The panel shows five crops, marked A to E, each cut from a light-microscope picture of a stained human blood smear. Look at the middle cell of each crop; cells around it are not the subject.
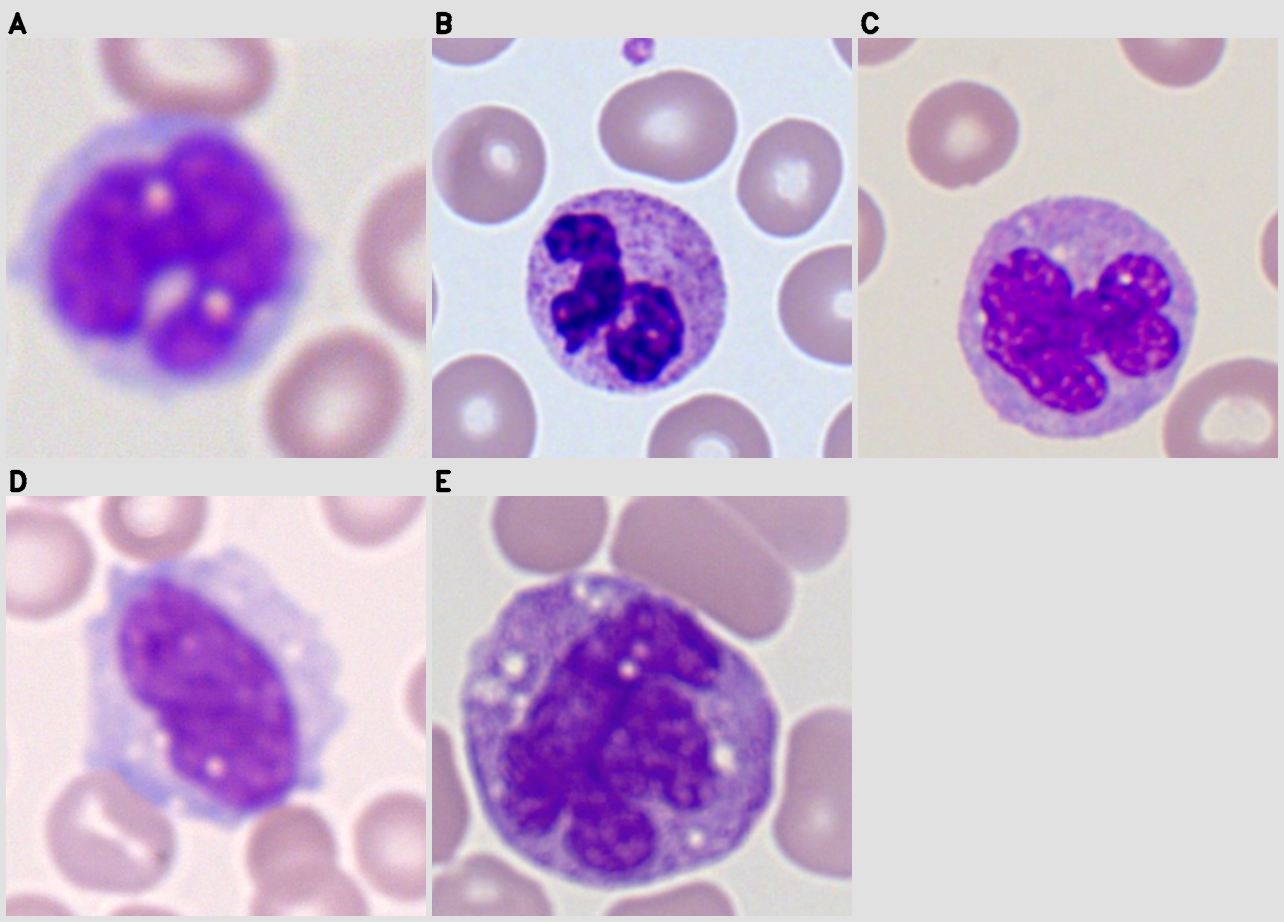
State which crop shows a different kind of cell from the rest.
B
